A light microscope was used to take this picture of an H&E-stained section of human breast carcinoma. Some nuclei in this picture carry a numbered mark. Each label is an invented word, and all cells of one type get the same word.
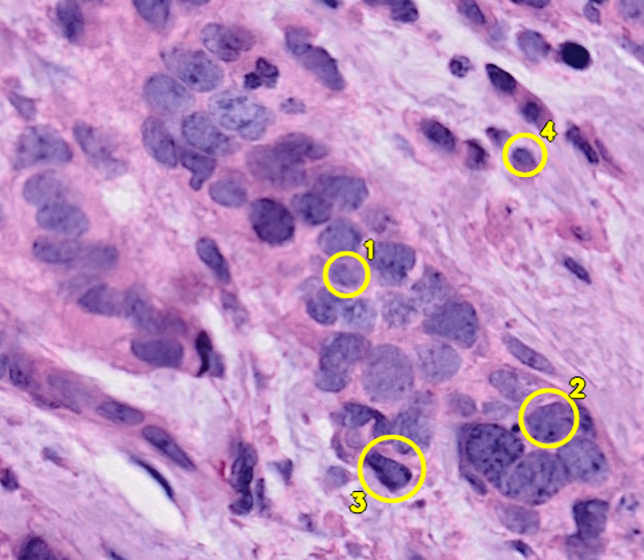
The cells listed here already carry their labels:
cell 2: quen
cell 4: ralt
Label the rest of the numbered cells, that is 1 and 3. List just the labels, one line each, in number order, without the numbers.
quen
quen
